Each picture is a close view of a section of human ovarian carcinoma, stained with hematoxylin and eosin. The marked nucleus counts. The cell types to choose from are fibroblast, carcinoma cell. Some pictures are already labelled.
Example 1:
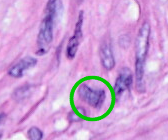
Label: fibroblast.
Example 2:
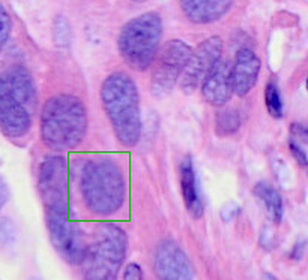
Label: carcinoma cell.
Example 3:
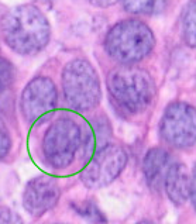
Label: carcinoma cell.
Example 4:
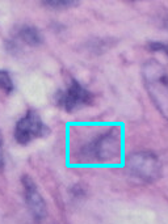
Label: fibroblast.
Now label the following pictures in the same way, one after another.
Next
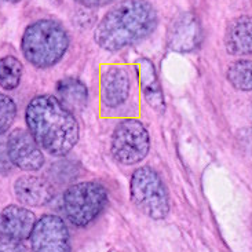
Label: carcinoma cell.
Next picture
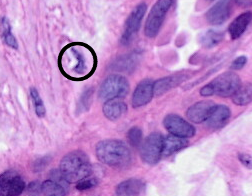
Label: fibroblast.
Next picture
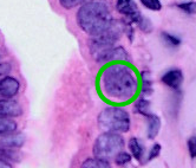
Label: carcinoma cell.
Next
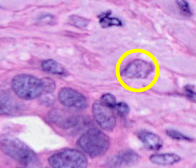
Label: fibroblast.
